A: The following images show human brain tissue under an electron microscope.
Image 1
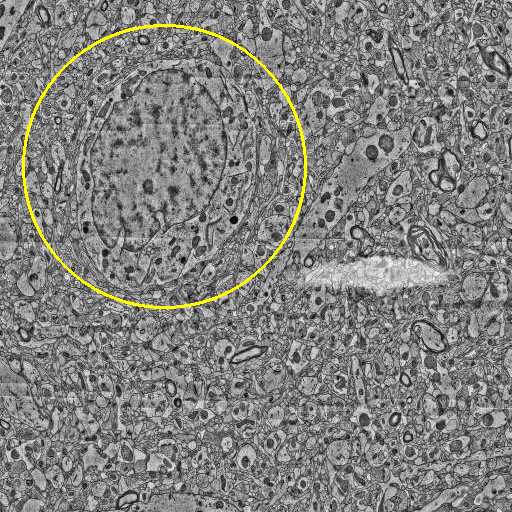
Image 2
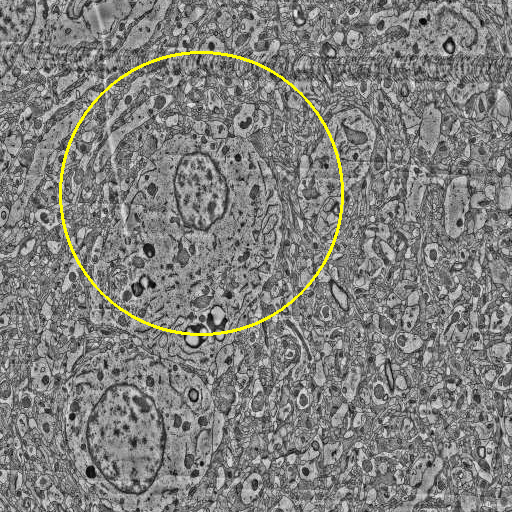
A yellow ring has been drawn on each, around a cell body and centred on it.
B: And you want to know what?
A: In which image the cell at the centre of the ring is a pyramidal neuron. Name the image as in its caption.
Image 2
